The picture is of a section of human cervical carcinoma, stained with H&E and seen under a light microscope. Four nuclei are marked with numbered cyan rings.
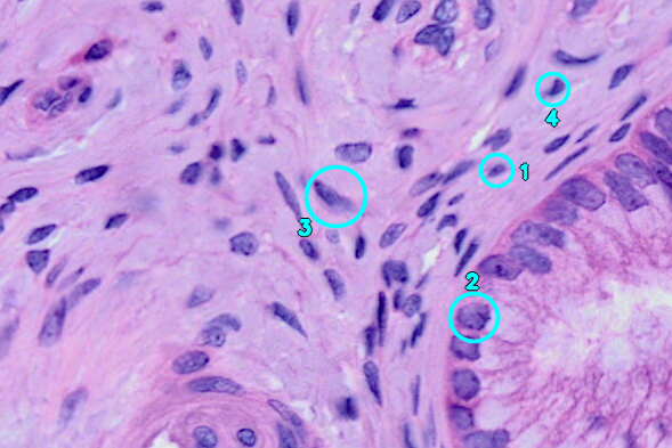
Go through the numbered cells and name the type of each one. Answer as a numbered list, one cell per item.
1. fibroblast
2. secretory epithelial cell
3. fibroblast
4. fibroblast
